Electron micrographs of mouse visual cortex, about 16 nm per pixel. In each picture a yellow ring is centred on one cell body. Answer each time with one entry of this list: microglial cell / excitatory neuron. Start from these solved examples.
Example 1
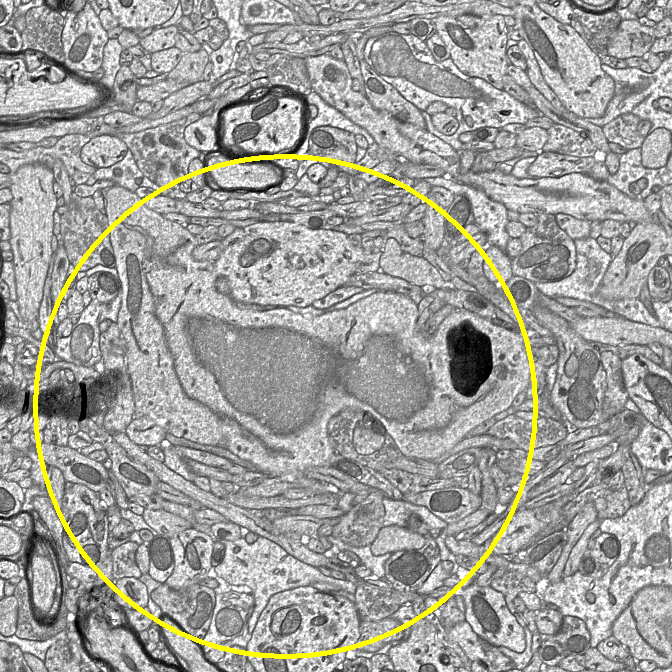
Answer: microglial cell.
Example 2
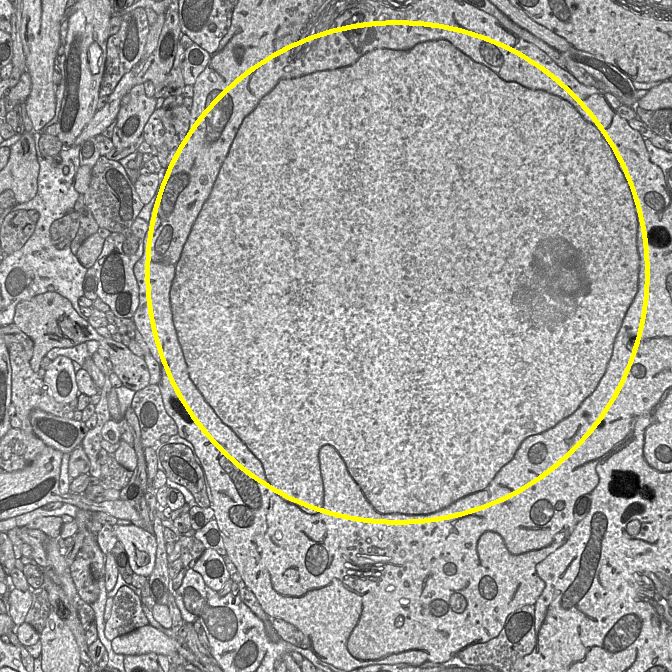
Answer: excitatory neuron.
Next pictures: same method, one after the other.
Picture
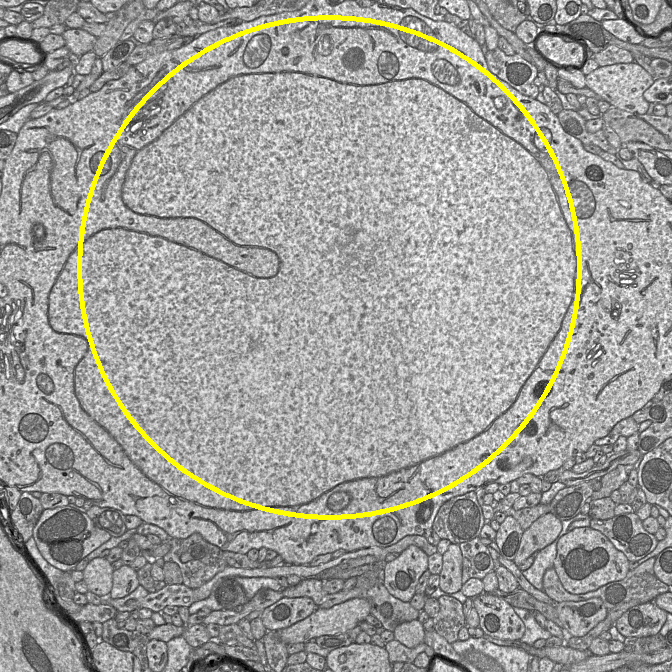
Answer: excitatory neuron.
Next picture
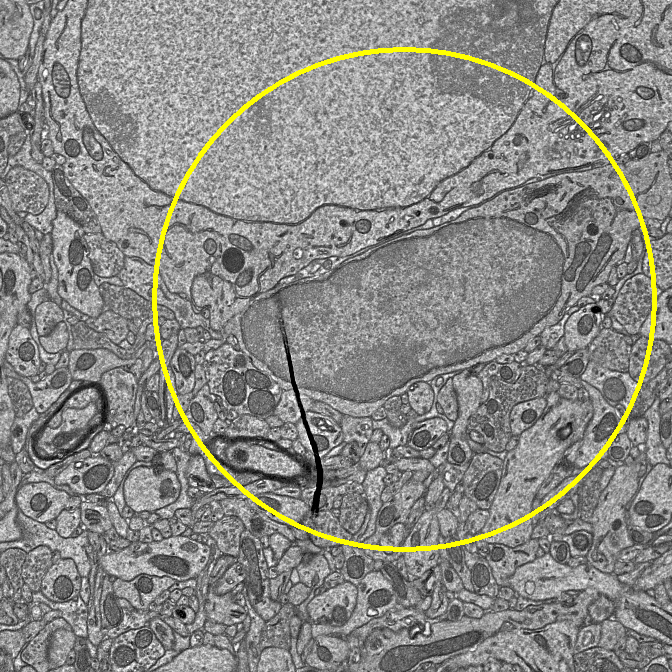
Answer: microglial cell.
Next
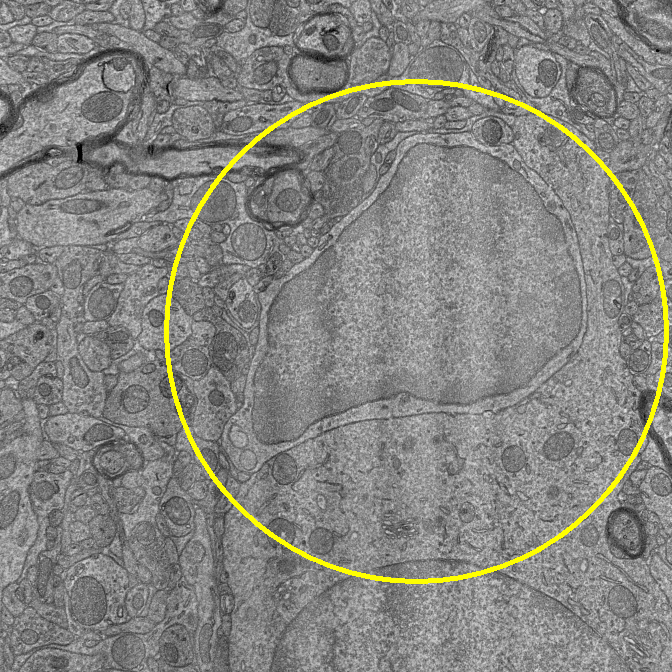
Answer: microglial cell.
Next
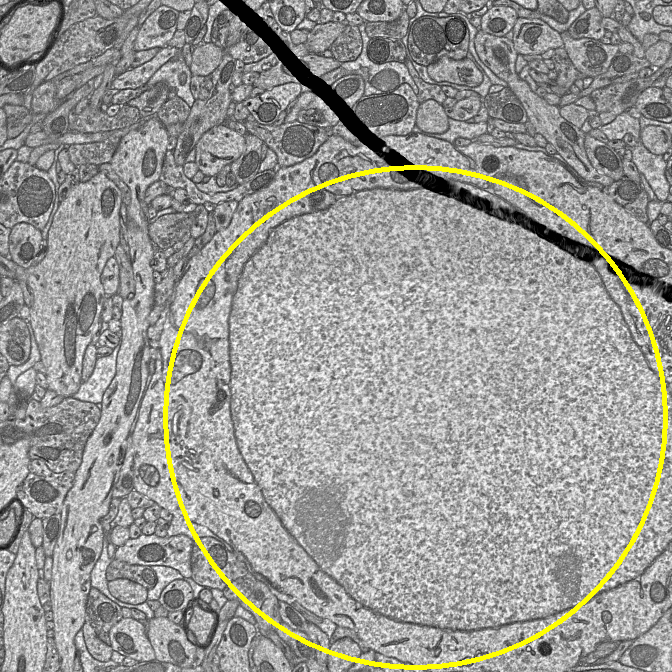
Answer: excitatory neuron.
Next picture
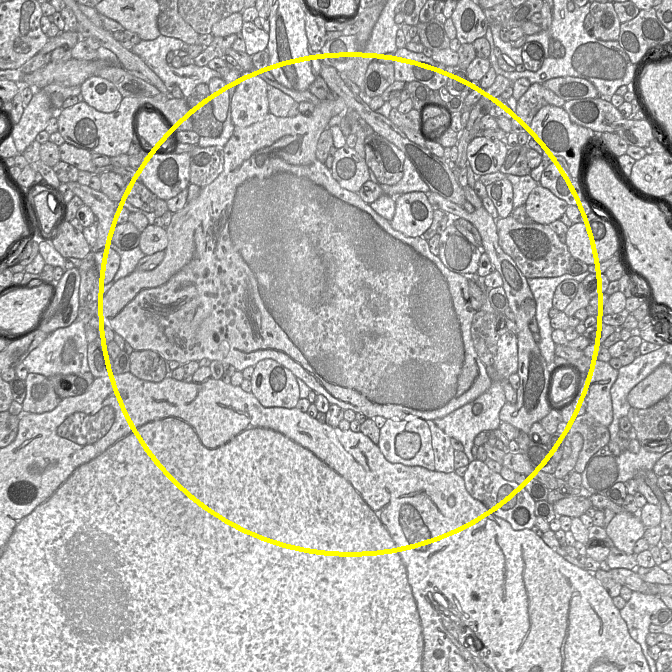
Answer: microglial cell.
